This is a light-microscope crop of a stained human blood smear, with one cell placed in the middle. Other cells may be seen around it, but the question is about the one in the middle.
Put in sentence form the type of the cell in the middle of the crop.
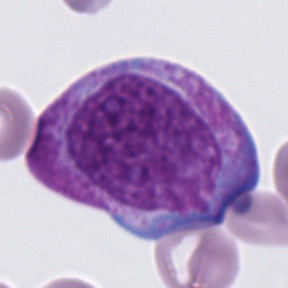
Within this crop, an atypical promyelocyte occupies the central position.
